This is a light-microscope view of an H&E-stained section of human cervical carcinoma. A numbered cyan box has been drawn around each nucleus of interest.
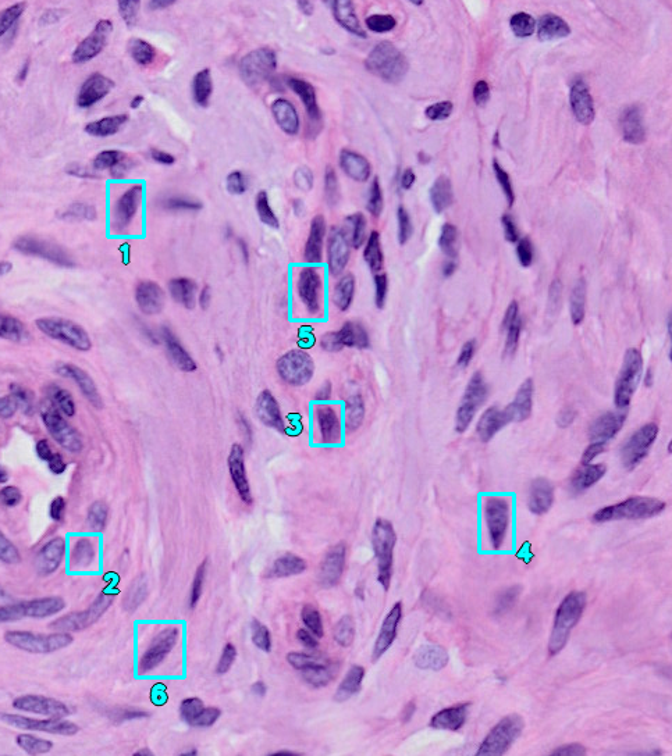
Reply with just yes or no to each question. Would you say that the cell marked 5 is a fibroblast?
no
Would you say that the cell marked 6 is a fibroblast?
yes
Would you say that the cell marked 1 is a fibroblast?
yes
